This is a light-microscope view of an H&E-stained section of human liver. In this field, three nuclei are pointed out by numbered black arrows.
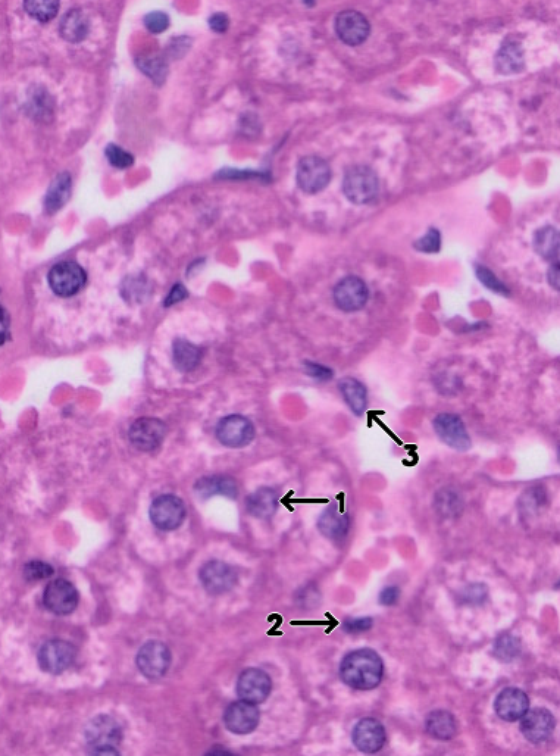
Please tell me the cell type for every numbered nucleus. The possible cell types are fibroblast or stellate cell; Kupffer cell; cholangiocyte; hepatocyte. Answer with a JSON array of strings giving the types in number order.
["hepatocyte", "fibroblast or stellate cell", "Kupffer cell"]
